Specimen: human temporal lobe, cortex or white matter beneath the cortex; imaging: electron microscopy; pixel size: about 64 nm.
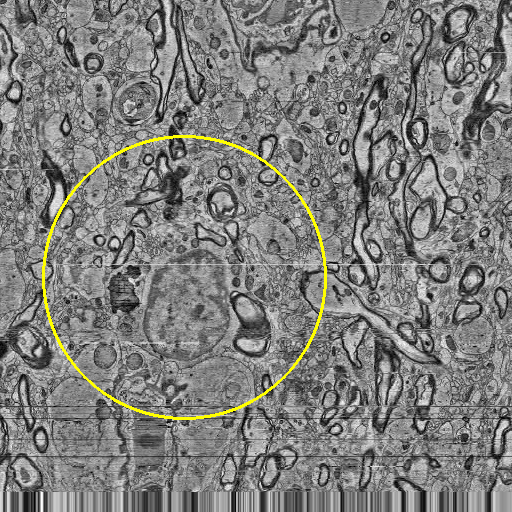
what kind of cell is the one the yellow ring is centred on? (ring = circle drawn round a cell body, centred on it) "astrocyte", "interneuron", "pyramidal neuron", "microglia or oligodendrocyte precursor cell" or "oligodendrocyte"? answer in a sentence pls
The ring is drawn around an oligodendrocyte.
